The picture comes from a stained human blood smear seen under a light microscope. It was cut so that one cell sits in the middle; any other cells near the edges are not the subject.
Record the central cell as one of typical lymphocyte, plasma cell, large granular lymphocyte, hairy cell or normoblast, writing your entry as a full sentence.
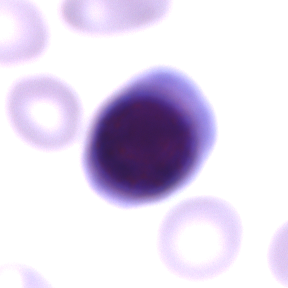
In the crop, the cell of interest at the centre is a normoblast.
